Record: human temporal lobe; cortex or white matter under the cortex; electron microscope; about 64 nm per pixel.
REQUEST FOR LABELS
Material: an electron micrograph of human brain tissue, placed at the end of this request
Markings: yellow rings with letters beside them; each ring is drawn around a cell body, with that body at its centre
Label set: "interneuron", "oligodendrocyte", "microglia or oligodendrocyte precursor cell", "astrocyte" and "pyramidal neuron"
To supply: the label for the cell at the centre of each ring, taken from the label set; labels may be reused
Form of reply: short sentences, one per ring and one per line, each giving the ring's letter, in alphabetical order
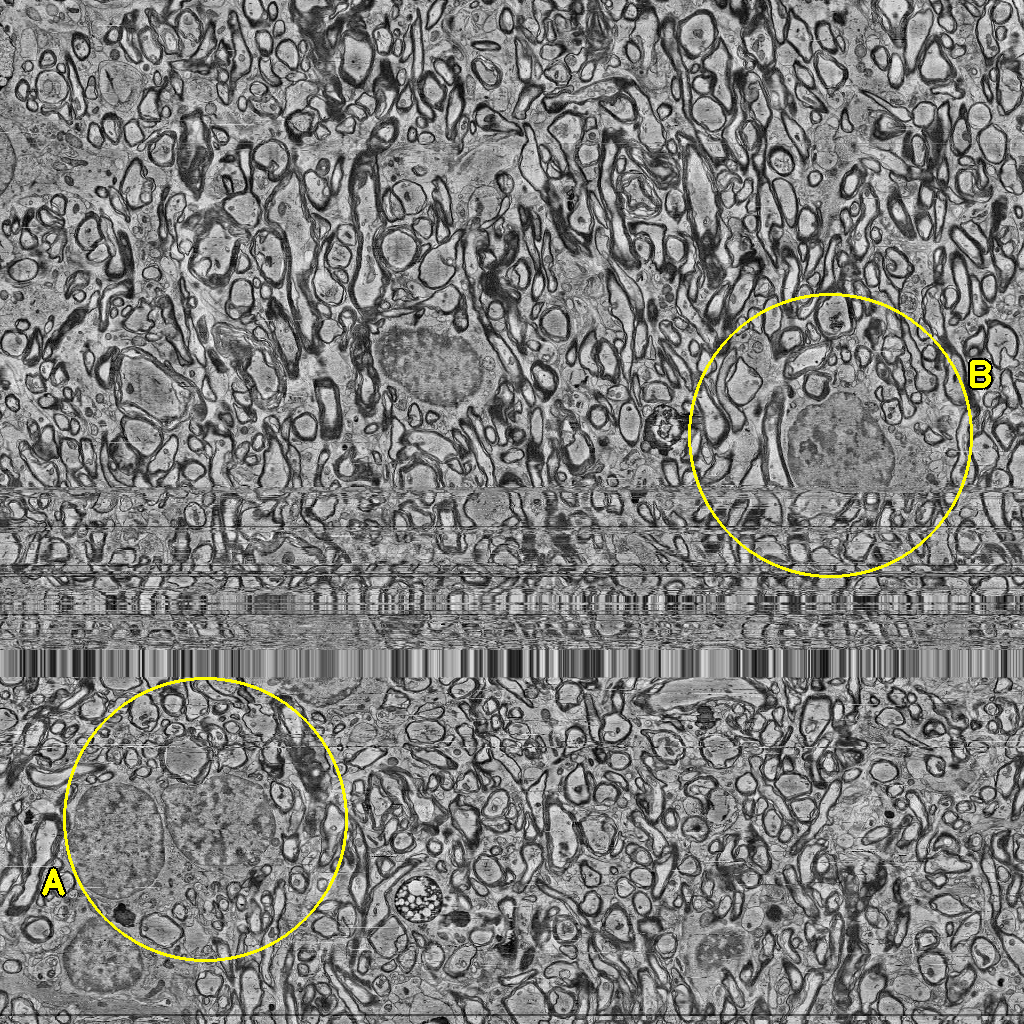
Ring A: the cell in the middle is an oligodendrocyte.
Ring B: the cell in the middle is an oligodendrocyte.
